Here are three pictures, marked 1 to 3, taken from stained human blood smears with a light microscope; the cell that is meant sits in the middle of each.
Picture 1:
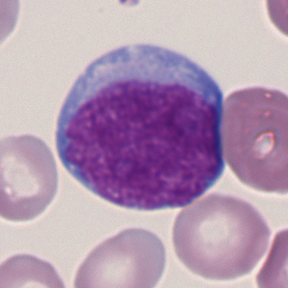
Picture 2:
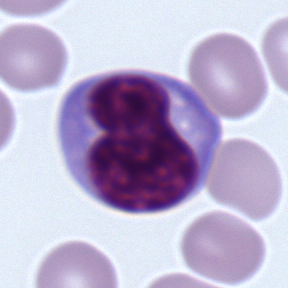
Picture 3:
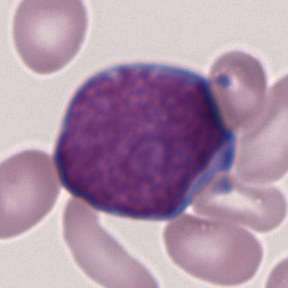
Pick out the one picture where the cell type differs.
2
